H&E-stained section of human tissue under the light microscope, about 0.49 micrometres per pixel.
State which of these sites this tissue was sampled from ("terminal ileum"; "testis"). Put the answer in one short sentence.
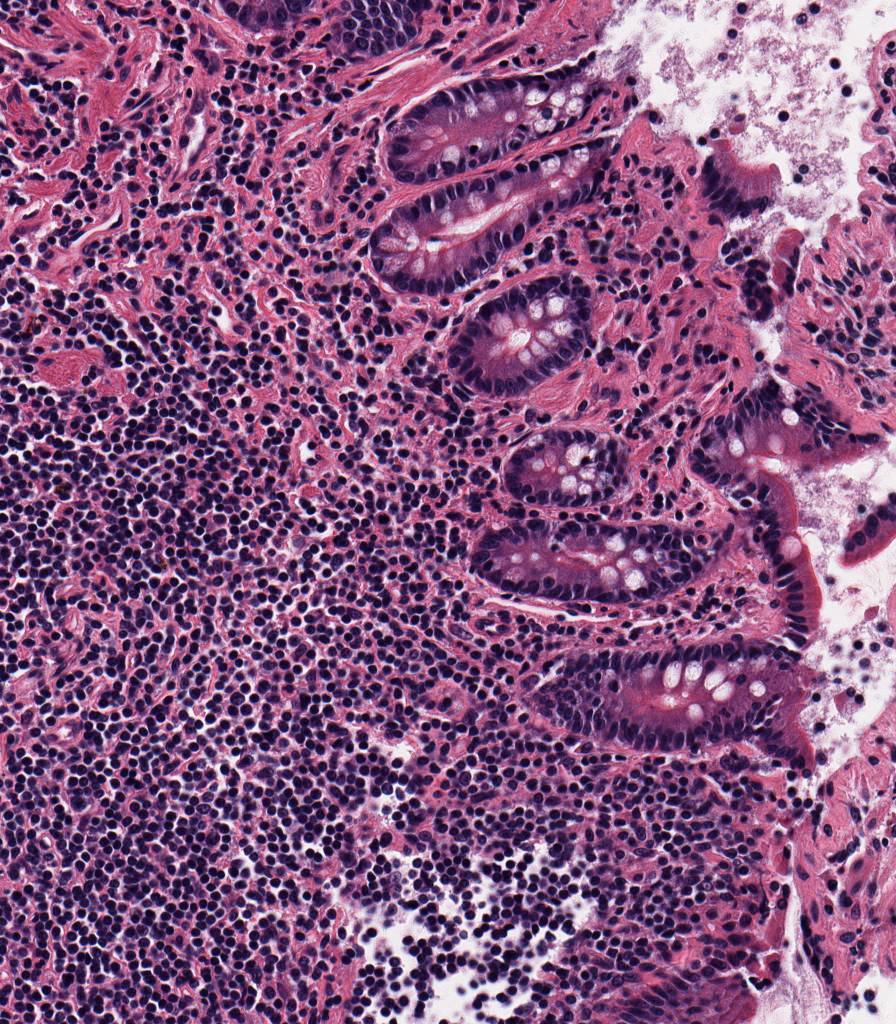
The site this tissue was sampled from is the terminal ileum.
